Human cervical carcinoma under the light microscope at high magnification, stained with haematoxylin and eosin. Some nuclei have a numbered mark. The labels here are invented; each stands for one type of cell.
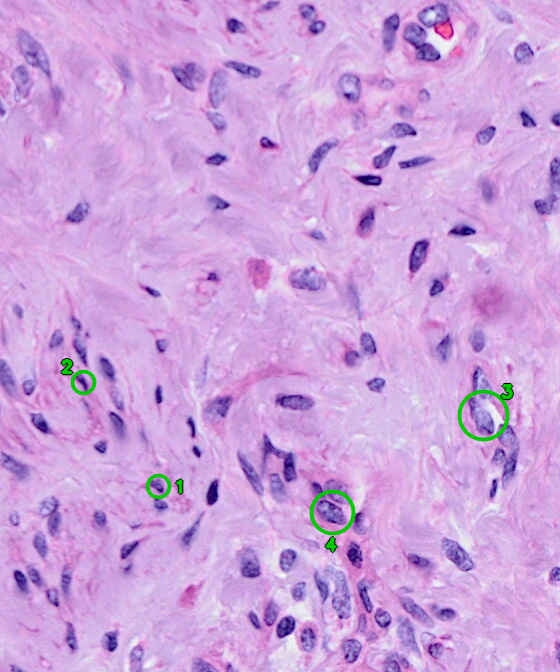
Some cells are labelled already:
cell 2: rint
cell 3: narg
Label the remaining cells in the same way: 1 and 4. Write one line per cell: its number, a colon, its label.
1: rint
4: narg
